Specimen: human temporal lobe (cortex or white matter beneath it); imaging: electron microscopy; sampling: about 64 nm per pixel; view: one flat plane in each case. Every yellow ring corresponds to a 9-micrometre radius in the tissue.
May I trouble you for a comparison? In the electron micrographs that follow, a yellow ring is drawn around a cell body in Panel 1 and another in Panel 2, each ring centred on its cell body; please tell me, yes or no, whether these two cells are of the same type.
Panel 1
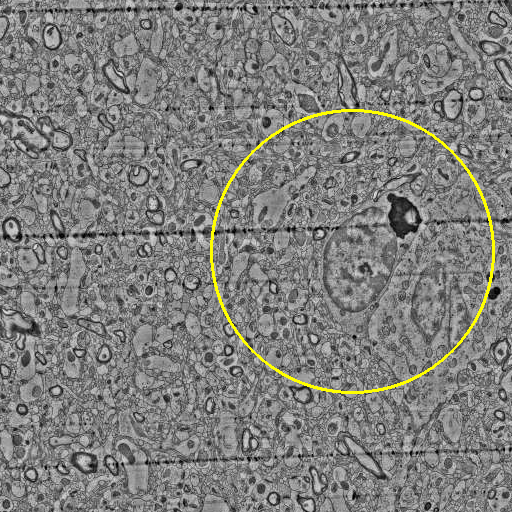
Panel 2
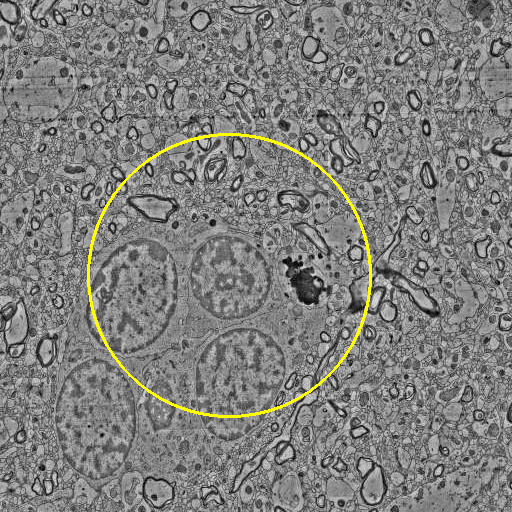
yes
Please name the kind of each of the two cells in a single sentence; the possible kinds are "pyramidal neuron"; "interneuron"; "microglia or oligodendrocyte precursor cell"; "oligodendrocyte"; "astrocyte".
The first and the second cell are each an oligodendrocyte.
